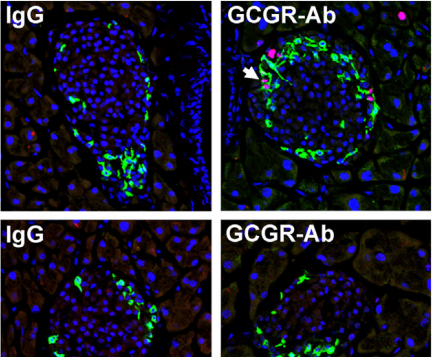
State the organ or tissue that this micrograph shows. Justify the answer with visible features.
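Each image shows a rounded, compact cluster of densely packed small nuclei. The cluster is set off from the surrounding tissue, whose cells are larger and arranged in acini.
Conclusion: pancreatic islet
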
